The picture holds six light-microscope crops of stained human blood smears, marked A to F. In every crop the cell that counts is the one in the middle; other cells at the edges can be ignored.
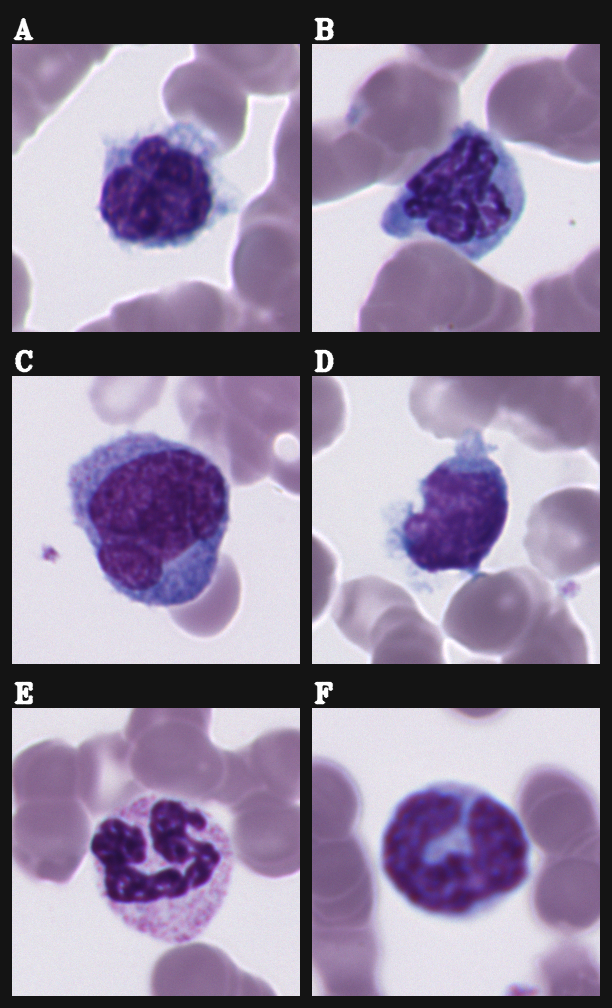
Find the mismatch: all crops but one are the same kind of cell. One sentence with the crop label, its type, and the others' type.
The one crop not showing monocytes is crop E, which shows a segmented neutrophil.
